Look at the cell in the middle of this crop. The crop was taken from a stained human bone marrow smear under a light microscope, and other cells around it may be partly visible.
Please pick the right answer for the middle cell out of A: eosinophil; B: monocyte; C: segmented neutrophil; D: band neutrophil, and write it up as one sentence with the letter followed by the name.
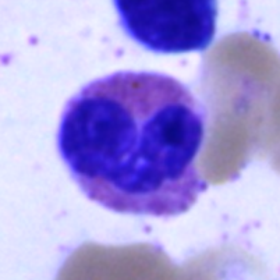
According to option A, which is correct, the cell in the middle is an eosinophil.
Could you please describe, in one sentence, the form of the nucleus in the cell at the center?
Counting the nuclear lobes gives a total of at least two.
